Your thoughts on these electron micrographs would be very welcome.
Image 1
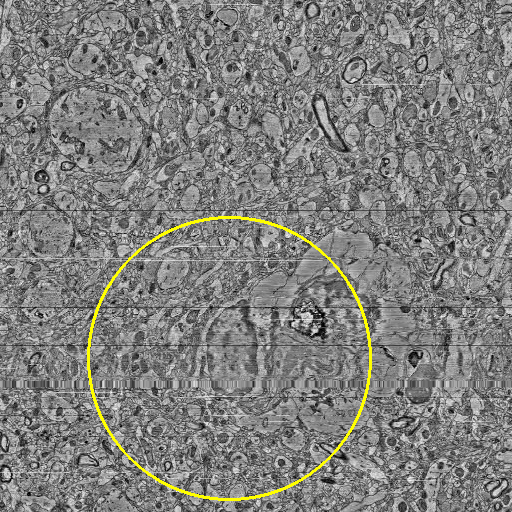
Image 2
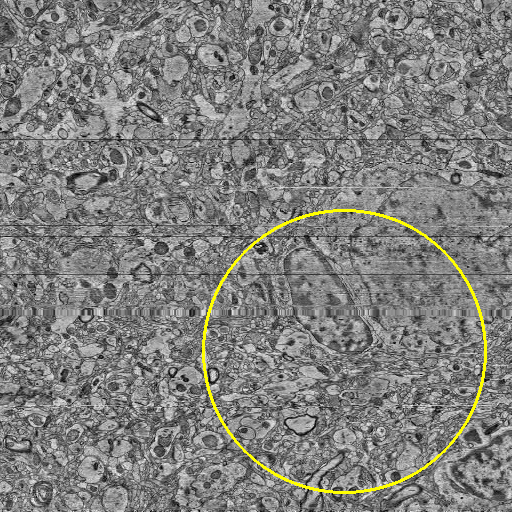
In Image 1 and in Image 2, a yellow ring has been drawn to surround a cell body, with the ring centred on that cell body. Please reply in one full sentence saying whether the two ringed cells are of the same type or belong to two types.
The ringed cells in Image 1 and Image 2 are of the same type.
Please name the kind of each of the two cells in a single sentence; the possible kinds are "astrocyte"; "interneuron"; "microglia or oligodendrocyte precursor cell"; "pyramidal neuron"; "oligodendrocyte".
Each of the two rings is centred on a microglial cell or oligodendrocyte precursor cell.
